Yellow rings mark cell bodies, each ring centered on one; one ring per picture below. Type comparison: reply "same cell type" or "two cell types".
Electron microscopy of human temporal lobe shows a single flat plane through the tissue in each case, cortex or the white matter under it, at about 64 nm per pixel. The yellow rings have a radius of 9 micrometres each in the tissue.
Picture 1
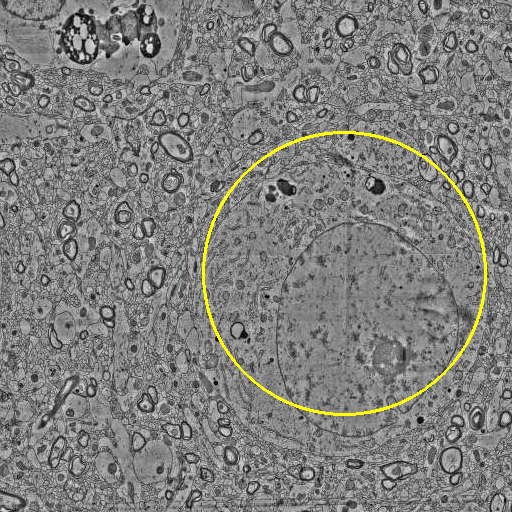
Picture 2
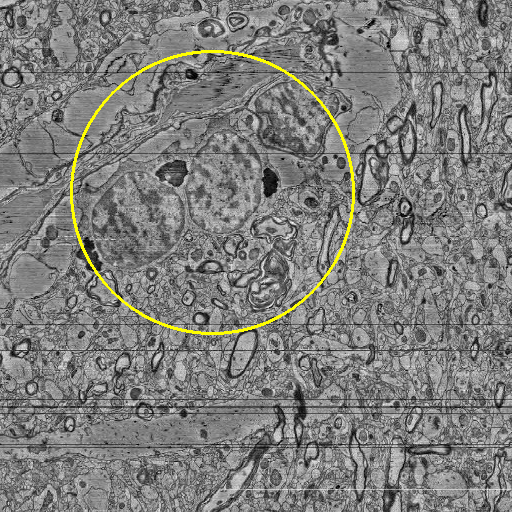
two cell types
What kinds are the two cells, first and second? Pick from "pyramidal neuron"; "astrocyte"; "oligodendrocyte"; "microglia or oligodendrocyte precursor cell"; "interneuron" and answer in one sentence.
The second picture holds an oligodendrocyte in its ring, and the first holds a pyramidal neuron.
